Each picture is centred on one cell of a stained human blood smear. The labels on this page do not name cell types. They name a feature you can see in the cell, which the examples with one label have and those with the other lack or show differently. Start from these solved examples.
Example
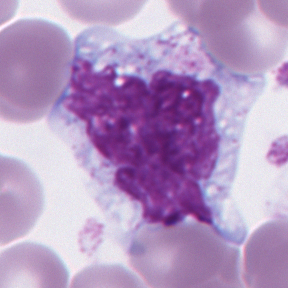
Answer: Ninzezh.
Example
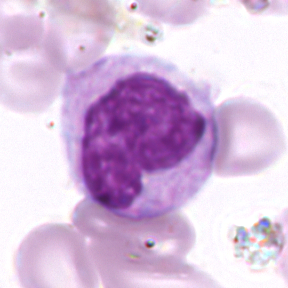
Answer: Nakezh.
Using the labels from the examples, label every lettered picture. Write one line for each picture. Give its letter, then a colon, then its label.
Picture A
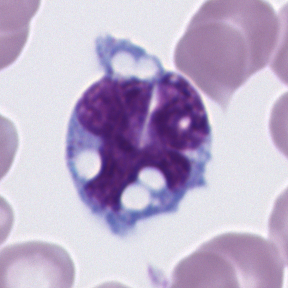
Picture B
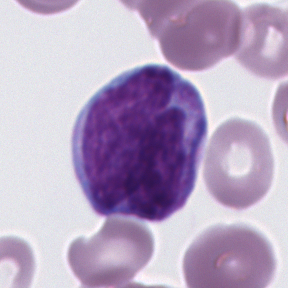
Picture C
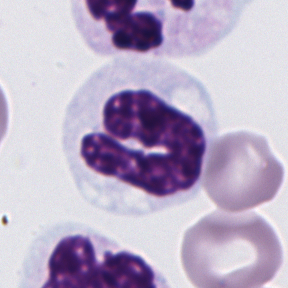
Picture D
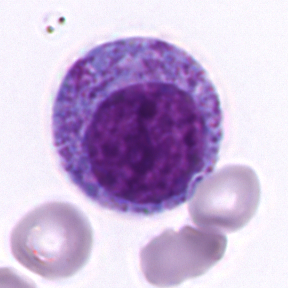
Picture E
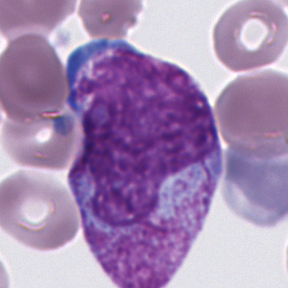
A: Nakezh.
B: Nakezh.
C: Nakezh.
D: Ninzezh.
E: Ninzezh.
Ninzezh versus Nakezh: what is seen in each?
In Ninzezh: many visible granules. In Nakezh: no visible granules.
